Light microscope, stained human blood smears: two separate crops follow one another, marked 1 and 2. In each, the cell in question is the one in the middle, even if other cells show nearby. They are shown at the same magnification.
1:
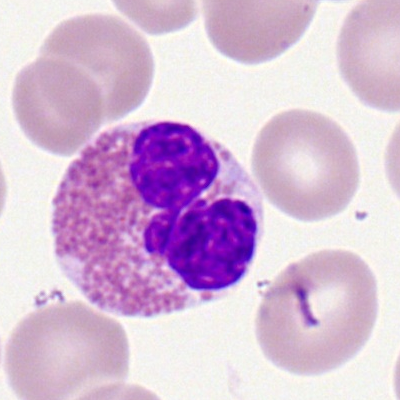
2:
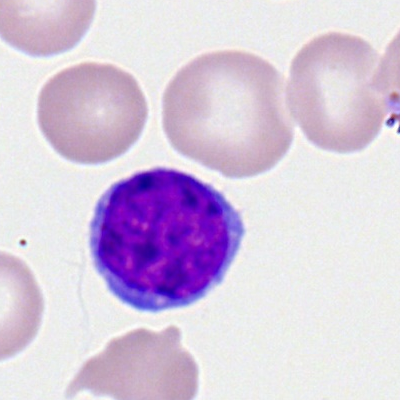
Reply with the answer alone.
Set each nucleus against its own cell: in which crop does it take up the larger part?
2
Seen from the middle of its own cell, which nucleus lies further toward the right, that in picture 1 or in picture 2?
1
